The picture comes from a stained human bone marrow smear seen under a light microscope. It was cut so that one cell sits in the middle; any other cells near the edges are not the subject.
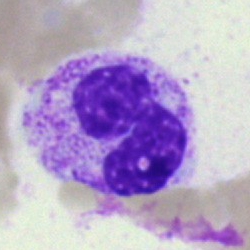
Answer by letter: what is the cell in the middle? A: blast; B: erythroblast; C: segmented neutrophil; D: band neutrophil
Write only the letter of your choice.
C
